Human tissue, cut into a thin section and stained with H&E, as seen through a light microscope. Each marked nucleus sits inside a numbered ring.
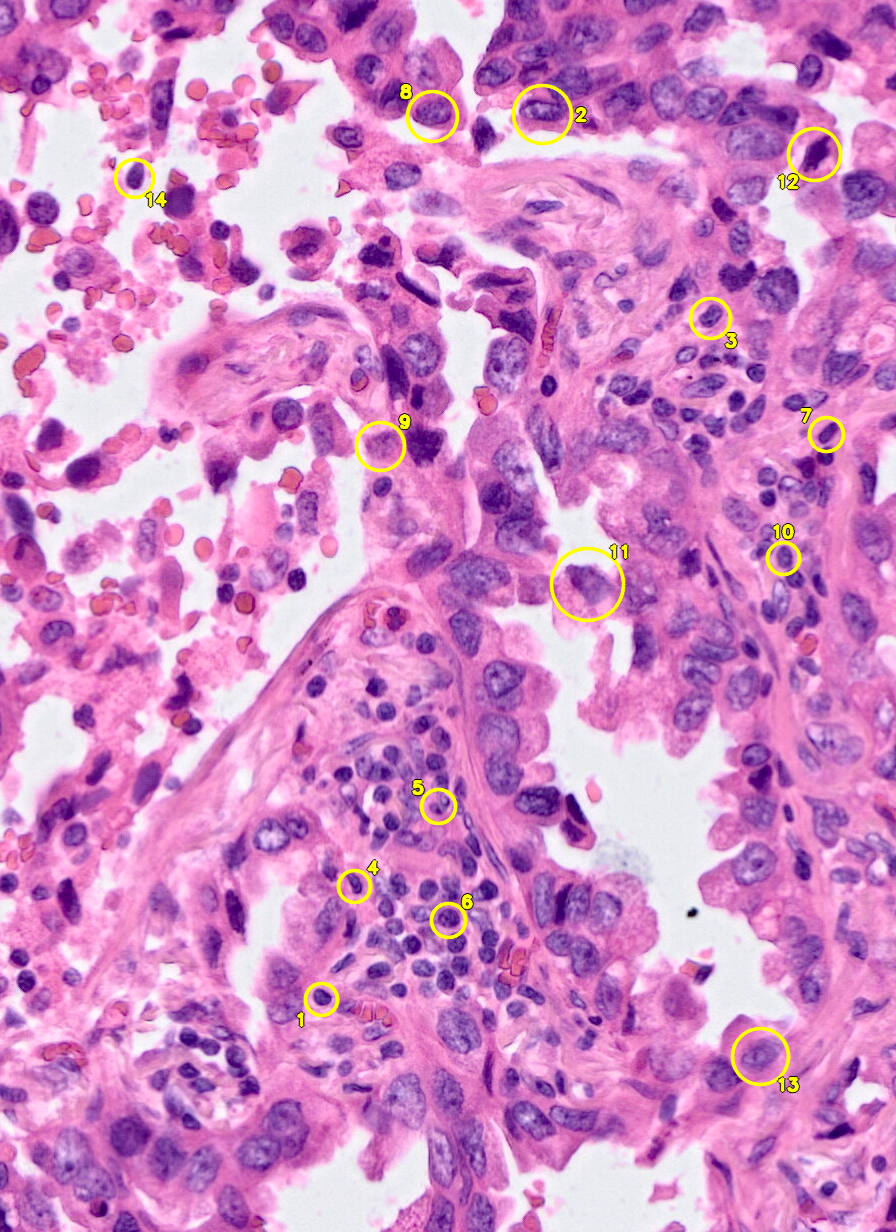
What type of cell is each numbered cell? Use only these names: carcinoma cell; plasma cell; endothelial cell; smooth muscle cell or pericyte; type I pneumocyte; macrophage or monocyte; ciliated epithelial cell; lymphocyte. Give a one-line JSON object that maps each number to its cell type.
{"1": "lymphocyte", "2": "carcinoma cell", "3": "lymphocyte", "4": "lymphocyte", "5": "lymphocyte", "6": "lymphocyte", "7": "lymphocyte", "8": "carcinoma cell", "9": "carcinoma cell", "10": "lymphocyte", "11": "carcinoma cell", "12": "carcinoma cell", "13": "carcinoma cell", "14": "lymphocyte"}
